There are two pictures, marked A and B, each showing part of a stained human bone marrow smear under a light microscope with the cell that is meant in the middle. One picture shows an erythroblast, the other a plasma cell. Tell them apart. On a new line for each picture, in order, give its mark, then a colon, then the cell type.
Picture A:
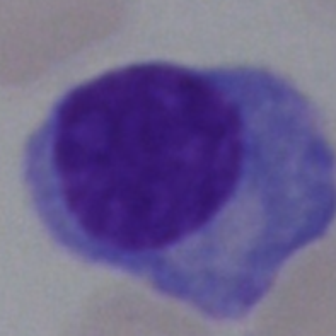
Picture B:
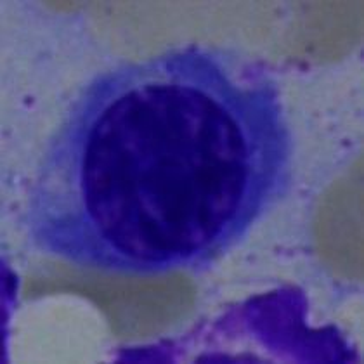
A: plasma cell
B: erythroblast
